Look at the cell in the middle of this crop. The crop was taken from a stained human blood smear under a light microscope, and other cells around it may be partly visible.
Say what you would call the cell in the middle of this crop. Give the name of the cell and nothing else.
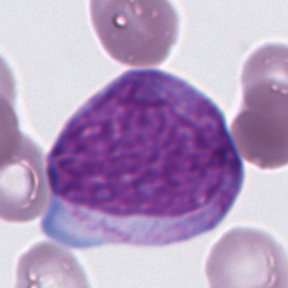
atypical promyelocyte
